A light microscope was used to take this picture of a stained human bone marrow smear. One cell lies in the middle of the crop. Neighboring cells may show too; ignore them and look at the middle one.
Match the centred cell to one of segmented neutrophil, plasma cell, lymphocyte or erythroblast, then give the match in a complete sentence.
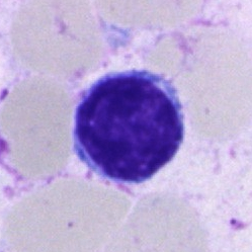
Looking at the middle of the crop, the cell there is a lymphocyte.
